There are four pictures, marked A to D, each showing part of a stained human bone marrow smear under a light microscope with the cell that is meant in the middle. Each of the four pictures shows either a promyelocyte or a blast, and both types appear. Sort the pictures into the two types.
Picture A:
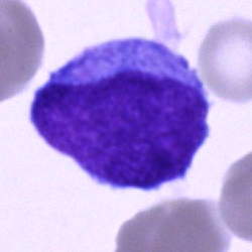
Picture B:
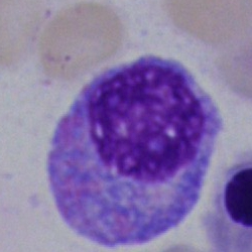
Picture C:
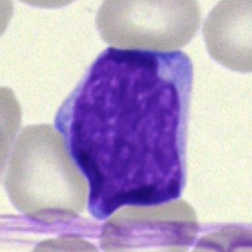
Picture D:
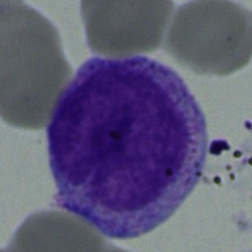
A: blast
B: promyelocyte
C: blast
D: promyelocyte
